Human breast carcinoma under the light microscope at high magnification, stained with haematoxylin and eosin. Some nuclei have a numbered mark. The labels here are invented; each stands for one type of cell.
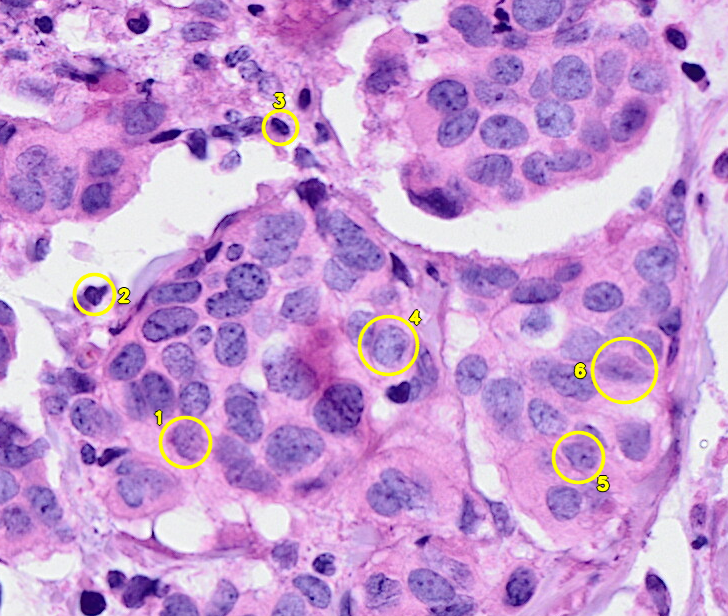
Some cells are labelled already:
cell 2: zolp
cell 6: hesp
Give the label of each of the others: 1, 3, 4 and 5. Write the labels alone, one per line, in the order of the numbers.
hesp
zolp
hesp
hesp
